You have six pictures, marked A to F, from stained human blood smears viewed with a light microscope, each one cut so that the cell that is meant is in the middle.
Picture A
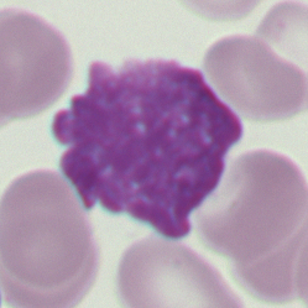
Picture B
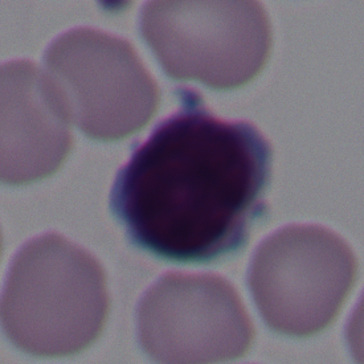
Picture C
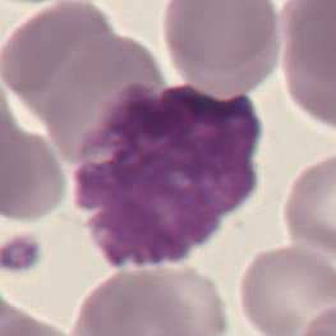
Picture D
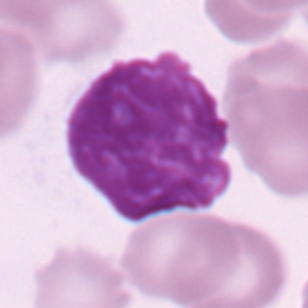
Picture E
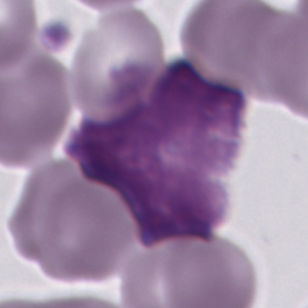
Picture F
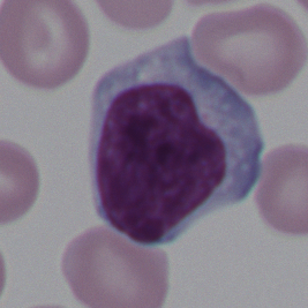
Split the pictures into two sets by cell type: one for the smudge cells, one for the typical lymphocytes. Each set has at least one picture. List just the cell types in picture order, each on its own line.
smudge cell
typical lymphocyte
smudge cell
smudge cell
smudge cell
typical lymphocyte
